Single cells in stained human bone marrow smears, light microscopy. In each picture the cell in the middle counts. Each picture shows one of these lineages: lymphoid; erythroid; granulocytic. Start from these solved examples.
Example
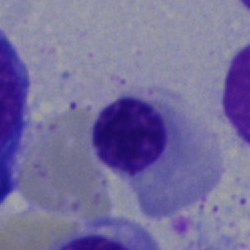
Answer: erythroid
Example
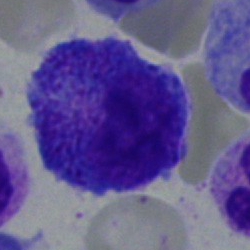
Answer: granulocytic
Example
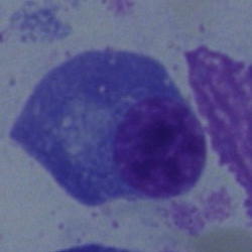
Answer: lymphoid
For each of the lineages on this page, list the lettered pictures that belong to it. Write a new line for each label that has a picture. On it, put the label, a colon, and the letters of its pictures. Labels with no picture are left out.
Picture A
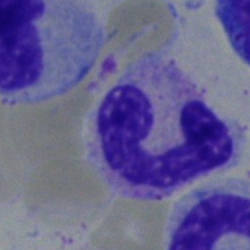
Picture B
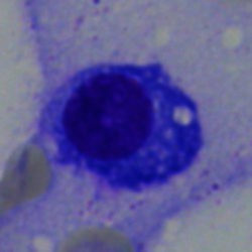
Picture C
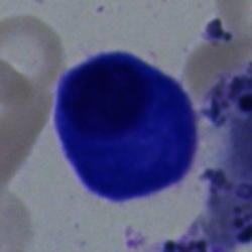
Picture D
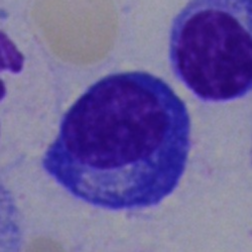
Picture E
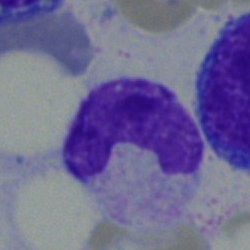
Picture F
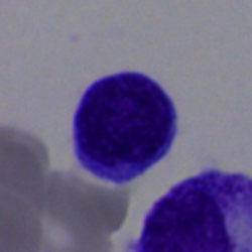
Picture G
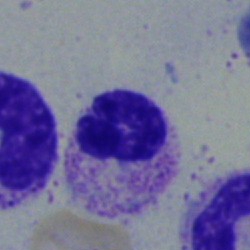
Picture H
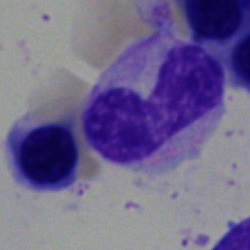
lymphoid: B, C, D, F
granulocytic: A, E, G, H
